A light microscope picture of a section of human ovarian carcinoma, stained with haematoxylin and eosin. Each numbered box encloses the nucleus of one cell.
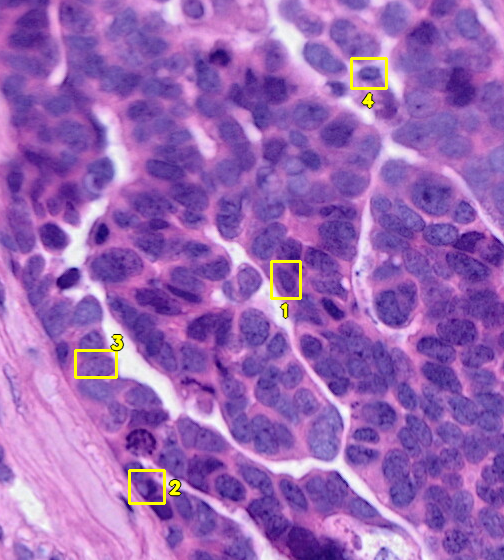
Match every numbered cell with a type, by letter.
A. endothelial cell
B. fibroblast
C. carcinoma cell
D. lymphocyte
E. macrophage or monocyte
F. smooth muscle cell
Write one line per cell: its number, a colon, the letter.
1: C
2: C
3: C
4: E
